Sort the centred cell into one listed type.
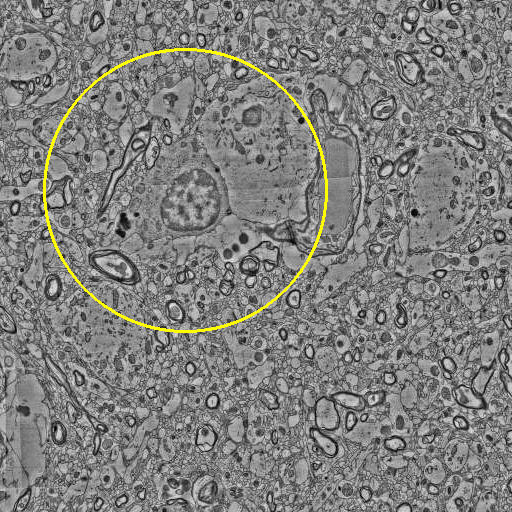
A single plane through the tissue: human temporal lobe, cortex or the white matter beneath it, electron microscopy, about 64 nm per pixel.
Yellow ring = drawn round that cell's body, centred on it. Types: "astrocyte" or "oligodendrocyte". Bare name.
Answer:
oligodendrocyte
